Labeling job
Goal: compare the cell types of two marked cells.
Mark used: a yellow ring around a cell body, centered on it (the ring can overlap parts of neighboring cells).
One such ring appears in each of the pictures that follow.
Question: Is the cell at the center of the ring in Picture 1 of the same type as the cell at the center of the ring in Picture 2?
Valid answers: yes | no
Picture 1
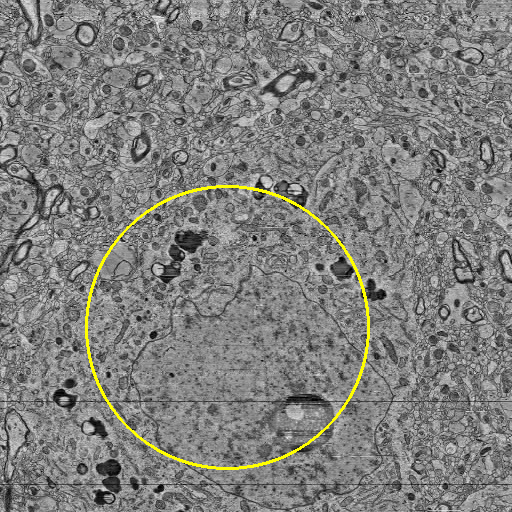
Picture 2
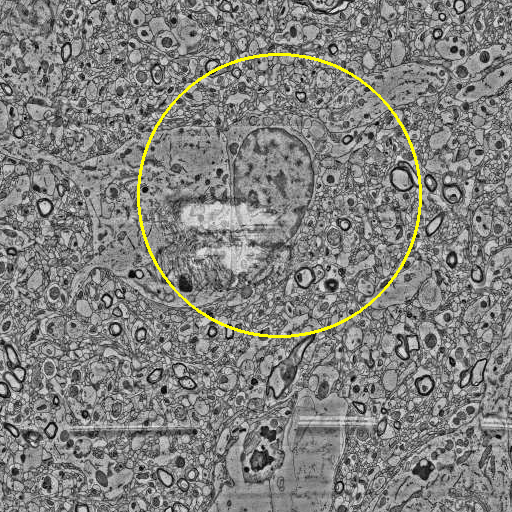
no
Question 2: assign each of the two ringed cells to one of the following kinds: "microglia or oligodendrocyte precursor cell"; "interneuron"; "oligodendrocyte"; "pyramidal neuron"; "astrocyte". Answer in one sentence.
The two cells are a pyramidal neuron in the first picture and an oligodendrocyte in the second.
